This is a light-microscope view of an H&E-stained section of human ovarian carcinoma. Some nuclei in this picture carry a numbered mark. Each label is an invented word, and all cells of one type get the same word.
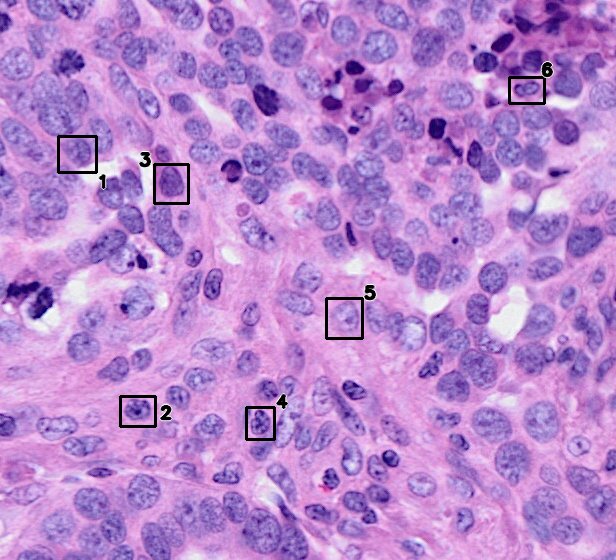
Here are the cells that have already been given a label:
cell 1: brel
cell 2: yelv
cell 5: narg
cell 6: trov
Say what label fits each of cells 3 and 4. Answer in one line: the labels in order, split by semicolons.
brel; yelv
